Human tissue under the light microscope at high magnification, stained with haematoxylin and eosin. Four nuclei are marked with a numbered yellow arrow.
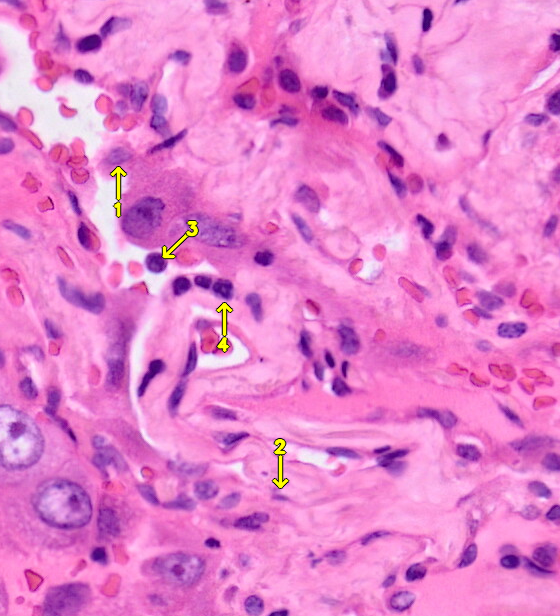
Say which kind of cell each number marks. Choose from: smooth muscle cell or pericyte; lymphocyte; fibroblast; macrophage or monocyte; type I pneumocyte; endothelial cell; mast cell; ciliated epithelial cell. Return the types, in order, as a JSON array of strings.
["macrophage or monocyte", "fibroblast", "lymphocyte", "lymphocyte"]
